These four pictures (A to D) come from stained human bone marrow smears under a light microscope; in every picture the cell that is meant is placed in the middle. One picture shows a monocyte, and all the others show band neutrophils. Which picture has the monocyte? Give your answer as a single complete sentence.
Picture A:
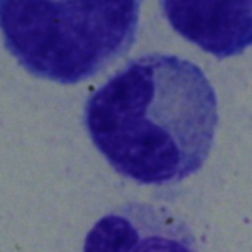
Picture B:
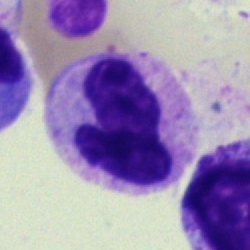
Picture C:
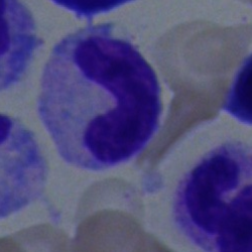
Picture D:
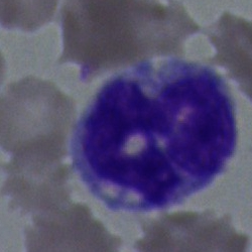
The cell in picture D is the monocyte.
